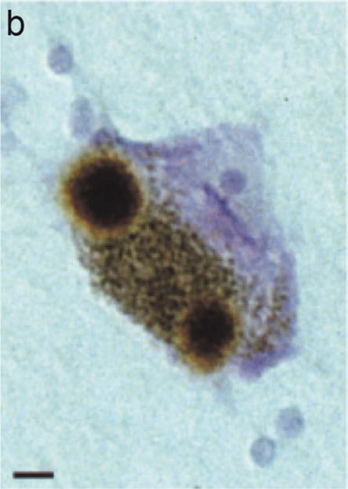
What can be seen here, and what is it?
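This is a single pigmented nerve cell carrying two Lewy bodies. The cell body is large and angular, with pale purple-blue cytoplasm, and much of it is filled with fine granular brown-black pigment. Within this pigmented area sit two round inclusions, each with a dense dark core surrounded by a paler brown halo, giving them a target-like look. A few small round blue nuclei of neighbouring cells lie around the edge of the neuron.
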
